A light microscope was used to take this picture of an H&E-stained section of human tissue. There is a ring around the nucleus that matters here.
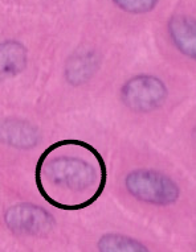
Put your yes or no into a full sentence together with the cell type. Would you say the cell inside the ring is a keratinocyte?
Yes, in terms of cell type, the cell inside the ring is a keratinocyte.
